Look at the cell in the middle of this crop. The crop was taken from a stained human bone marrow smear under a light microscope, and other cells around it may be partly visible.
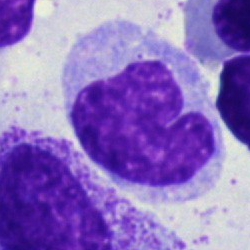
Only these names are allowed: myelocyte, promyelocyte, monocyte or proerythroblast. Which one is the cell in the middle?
monocyte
